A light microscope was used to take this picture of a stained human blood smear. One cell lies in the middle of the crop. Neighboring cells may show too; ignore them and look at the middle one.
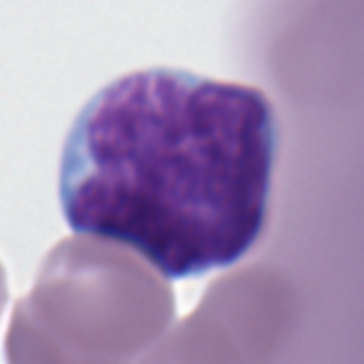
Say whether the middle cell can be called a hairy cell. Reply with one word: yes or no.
no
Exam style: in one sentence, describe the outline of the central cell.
A smooth, projection-free outline is what this cell has.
